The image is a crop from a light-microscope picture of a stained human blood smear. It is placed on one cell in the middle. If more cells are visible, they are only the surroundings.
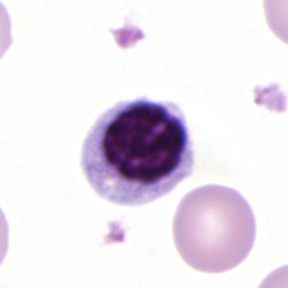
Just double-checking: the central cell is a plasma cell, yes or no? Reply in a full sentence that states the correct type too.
No, the central cell in this crop is a normoblast and not a plasma cell.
